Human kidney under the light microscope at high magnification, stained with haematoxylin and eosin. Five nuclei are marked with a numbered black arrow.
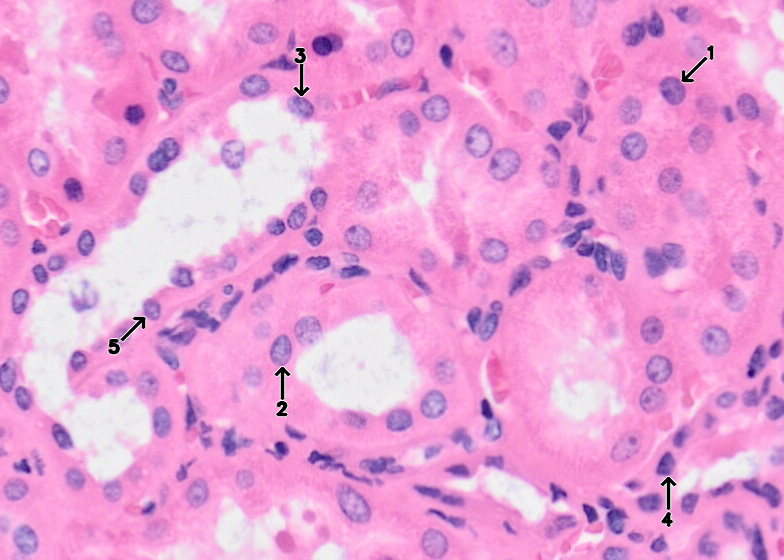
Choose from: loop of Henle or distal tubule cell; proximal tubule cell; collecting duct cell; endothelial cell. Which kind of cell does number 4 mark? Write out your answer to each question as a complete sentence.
The cell identified by number 4 is a collecting duct cell.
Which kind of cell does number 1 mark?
The marked cell bearing number 1 is a proximal tubule cell.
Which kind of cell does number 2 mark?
The cell that goes by number 2 is a loop of Henle or distal tubule cell.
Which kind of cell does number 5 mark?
The nucleus labelled 5 belongs to a loop of Henle or distal tubule cell.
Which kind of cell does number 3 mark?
Regarding cell 3, this one is a loop of Henle or distal tubule cell.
